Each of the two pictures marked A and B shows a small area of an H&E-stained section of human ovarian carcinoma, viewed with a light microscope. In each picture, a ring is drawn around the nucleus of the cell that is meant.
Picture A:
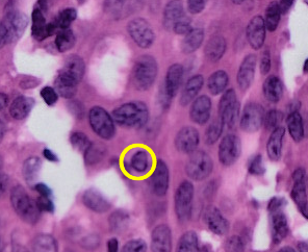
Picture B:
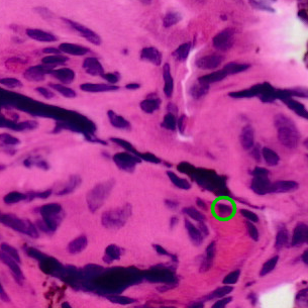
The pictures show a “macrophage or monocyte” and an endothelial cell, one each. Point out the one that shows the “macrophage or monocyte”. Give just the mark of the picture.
A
